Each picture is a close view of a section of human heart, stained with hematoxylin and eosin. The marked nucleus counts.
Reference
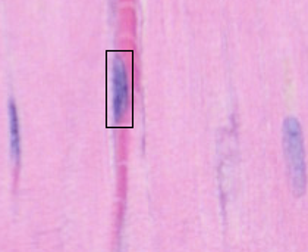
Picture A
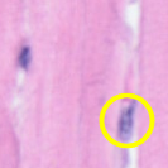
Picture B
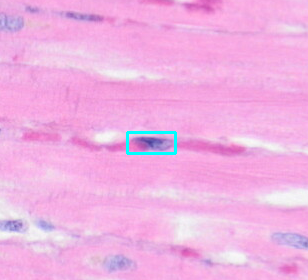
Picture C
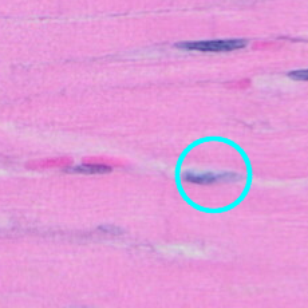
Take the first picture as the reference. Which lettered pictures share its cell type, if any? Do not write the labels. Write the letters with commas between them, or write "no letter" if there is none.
A, B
